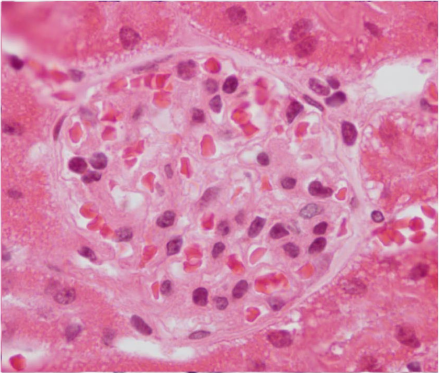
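This is a kidney section centred on a glomerulus with patent capillaries that contain red blood cells. The capillary loops are open and hold small, bright red, anucleate red blood cells. Purple nuclei of the glomerular cells lie along and between the loops in a pale pink, delicate framework. A thin capsule encloses the glomerulus, and the surrounding tubules have granular pink cytoplasm.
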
